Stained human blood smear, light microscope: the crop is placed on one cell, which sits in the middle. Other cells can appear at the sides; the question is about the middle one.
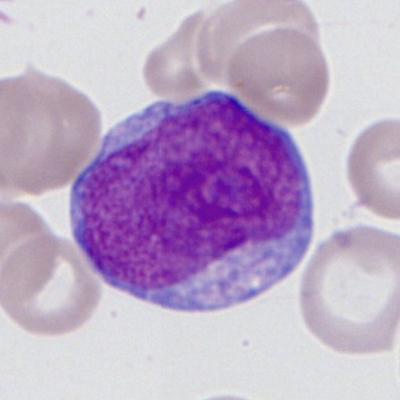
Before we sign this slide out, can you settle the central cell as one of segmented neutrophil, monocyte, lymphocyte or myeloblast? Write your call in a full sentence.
In the middle of this smear crop is a myeloblast.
